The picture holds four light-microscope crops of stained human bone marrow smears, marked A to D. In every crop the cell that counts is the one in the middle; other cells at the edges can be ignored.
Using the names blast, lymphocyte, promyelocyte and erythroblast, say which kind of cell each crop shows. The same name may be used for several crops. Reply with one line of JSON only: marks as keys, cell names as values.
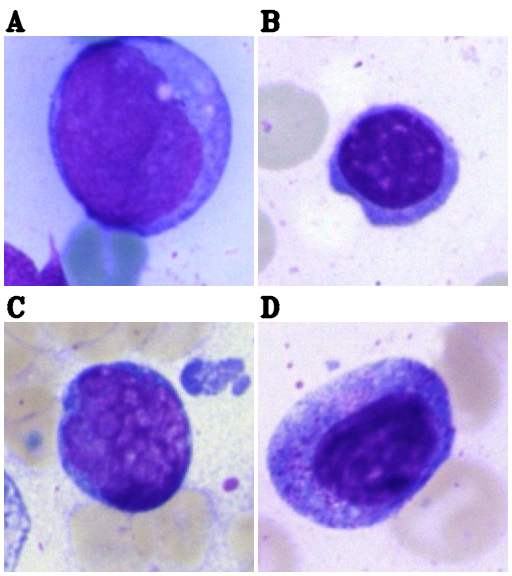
{"A": "blast", "B": "lymphocyte", "C": "blast", "D": "promyelocyte"}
